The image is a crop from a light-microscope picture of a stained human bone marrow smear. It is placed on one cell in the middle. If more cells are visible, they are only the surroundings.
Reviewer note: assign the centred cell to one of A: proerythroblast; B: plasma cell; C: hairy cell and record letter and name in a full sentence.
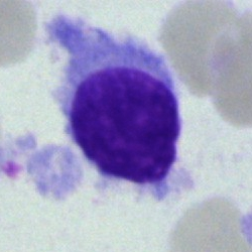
Option C is correct; the cell in the middle is a hairy cell.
